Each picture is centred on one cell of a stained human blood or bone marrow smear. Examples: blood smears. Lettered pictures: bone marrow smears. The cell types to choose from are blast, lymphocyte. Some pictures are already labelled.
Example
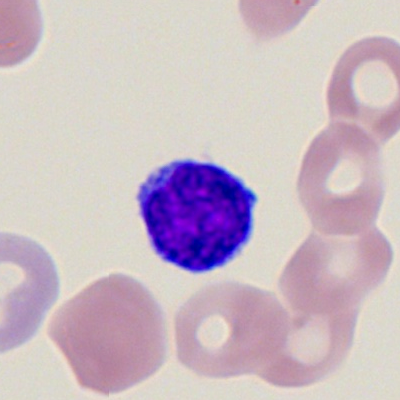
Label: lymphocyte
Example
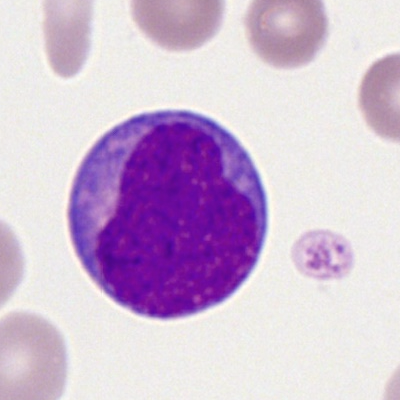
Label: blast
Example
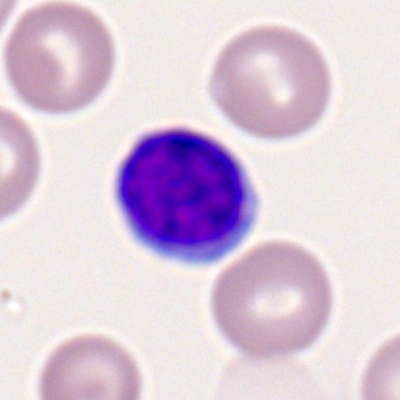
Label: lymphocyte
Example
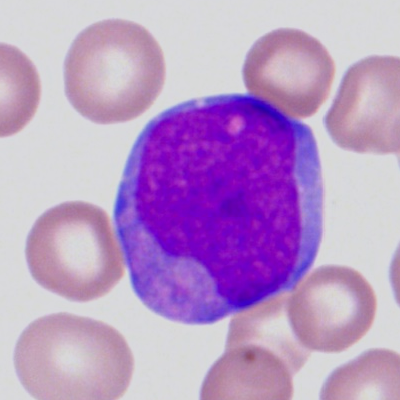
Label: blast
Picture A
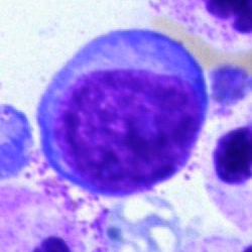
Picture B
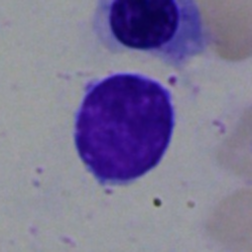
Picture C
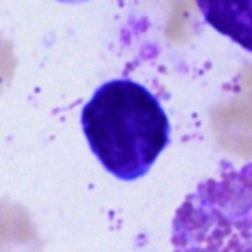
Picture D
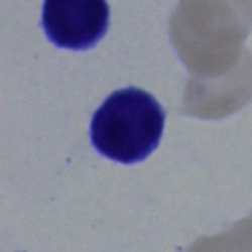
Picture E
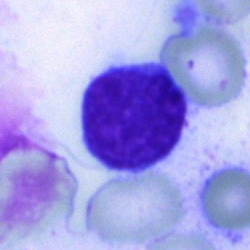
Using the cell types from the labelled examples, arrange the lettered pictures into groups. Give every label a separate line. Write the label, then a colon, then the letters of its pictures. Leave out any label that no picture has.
blast: A
lymphocyte: B, C, D, E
